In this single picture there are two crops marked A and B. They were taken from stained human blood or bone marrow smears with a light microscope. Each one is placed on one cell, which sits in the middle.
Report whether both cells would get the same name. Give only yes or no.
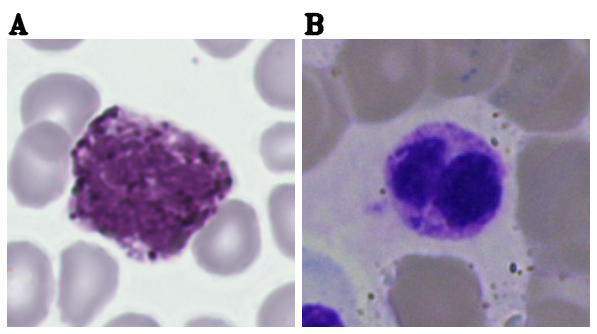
yes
